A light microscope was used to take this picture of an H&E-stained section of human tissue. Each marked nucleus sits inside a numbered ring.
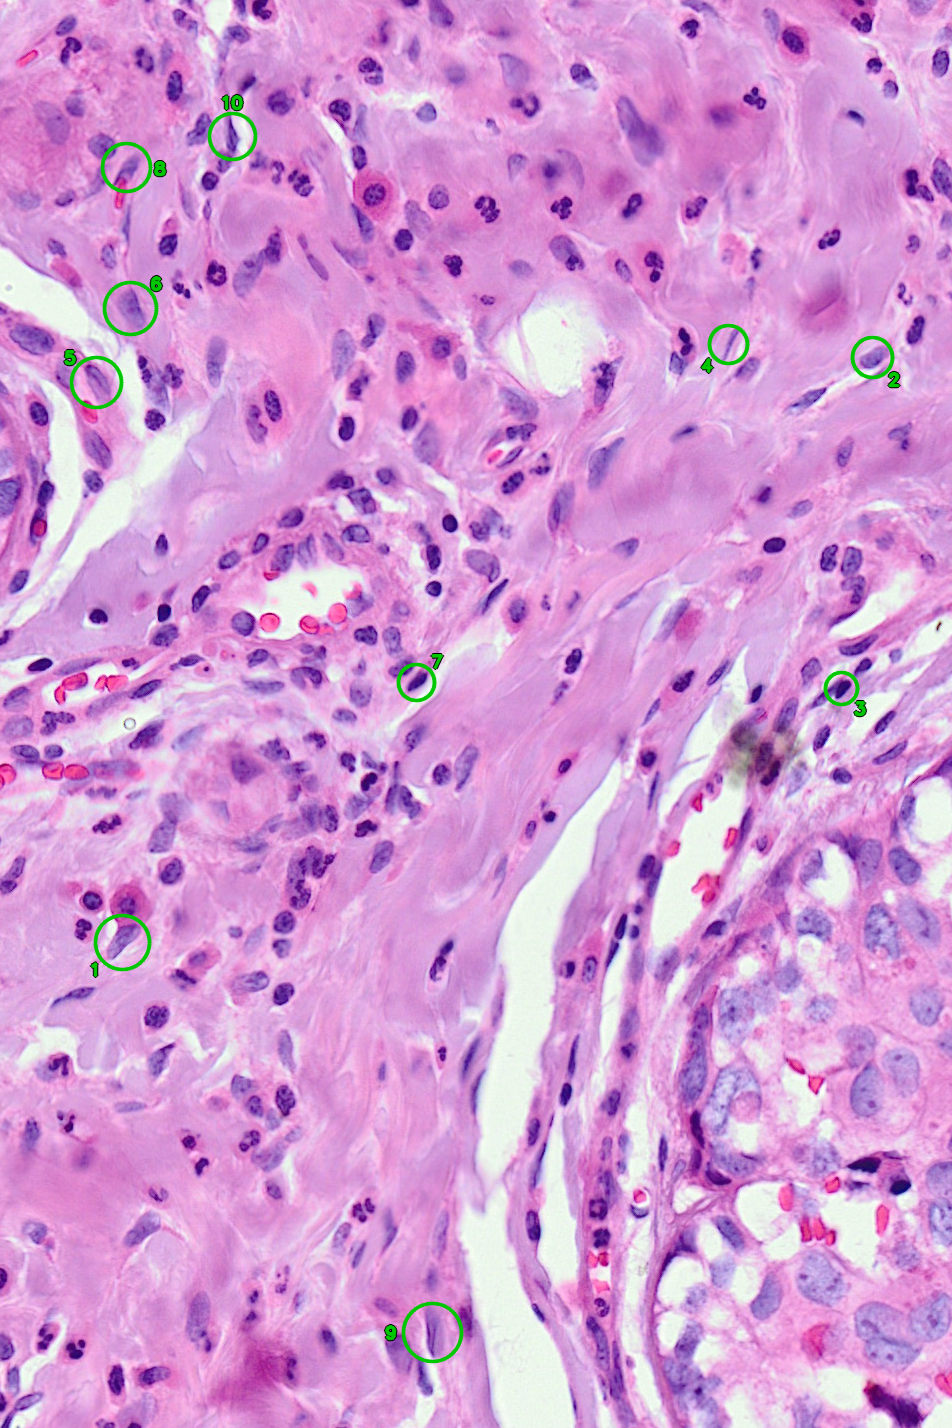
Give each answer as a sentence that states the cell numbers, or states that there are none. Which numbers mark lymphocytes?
The numbers 3 and 7 refer to cells that are lymphocytes.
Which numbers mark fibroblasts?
The numbers 1, 2, 4, 6, 9 and 10 refer to cells that are fibroblasts.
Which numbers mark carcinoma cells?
Concerning the numbered cells, no carcinoma cells are among them.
